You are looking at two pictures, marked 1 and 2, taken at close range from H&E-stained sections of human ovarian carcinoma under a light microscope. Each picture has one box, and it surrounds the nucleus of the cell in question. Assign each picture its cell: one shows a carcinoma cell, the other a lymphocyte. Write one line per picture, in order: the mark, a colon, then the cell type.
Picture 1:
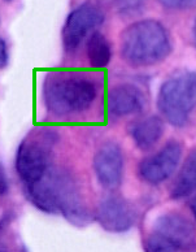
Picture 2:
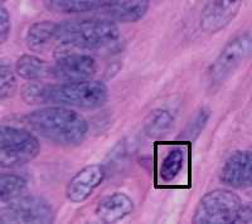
1: carcinoma cell
2: lymphocyte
